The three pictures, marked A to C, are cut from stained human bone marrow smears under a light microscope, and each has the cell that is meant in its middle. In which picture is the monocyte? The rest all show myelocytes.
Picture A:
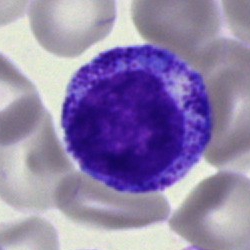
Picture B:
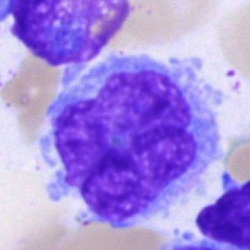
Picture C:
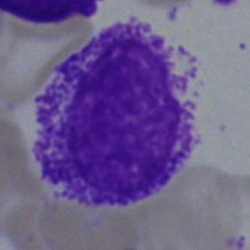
B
